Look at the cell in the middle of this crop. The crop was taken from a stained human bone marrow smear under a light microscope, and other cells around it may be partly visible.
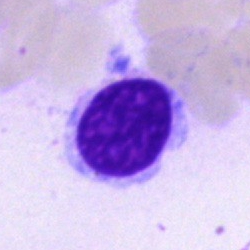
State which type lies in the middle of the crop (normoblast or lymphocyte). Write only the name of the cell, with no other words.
lymphocyte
